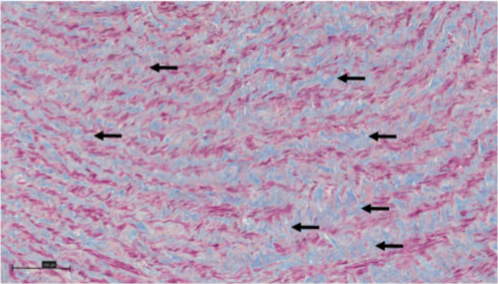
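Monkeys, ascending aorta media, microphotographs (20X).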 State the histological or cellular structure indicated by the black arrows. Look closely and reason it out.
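The arrows point to blue-stained fibrous material. The blue material lies in bands between red-pink elongated elements.
Collagen.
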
